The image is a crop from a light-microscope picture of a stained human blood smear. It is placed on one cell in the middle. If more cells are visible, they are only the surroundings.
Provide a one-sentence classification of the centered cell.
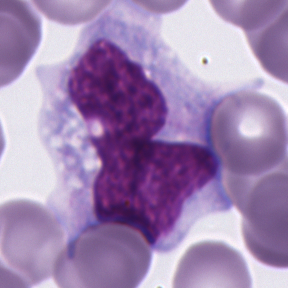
The cell around which this crop is centred is a monocyte.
